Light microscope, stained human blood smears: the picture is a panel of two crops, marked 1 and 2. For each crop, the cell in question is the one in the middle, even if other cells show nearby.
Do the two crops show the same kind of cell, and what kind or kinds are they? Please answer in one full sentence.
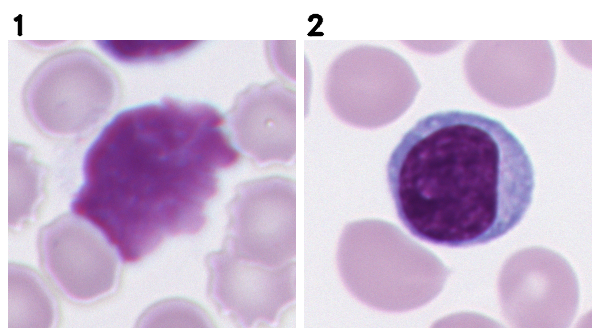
No, a smudge cell is in crop 1, while a typical lymphocyte is in crop 2.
